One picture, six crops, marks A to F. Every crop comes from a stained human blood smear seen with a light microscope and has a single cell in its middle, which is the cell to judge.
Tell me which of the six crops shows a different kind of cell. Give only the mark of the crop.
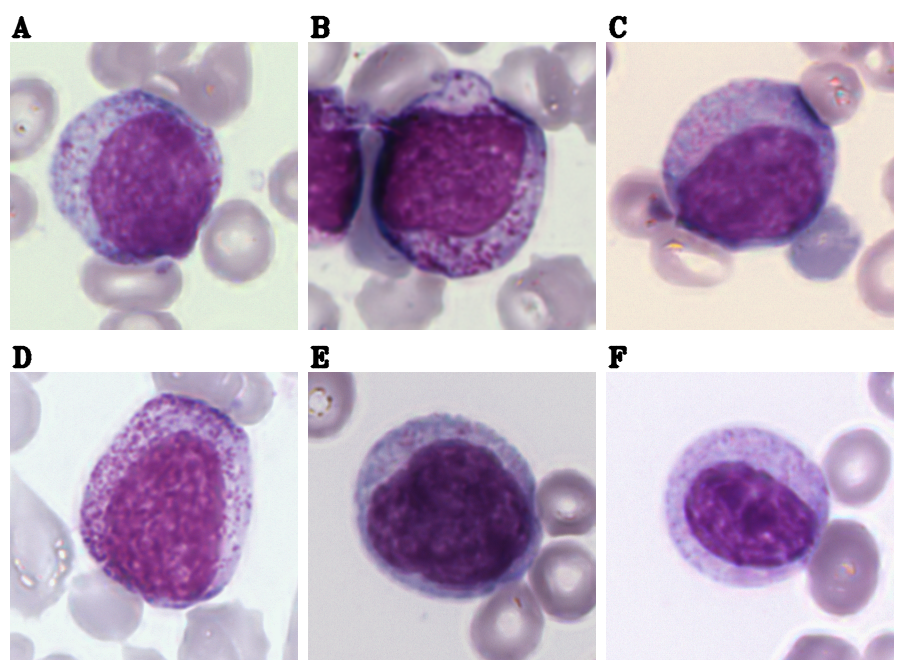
F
